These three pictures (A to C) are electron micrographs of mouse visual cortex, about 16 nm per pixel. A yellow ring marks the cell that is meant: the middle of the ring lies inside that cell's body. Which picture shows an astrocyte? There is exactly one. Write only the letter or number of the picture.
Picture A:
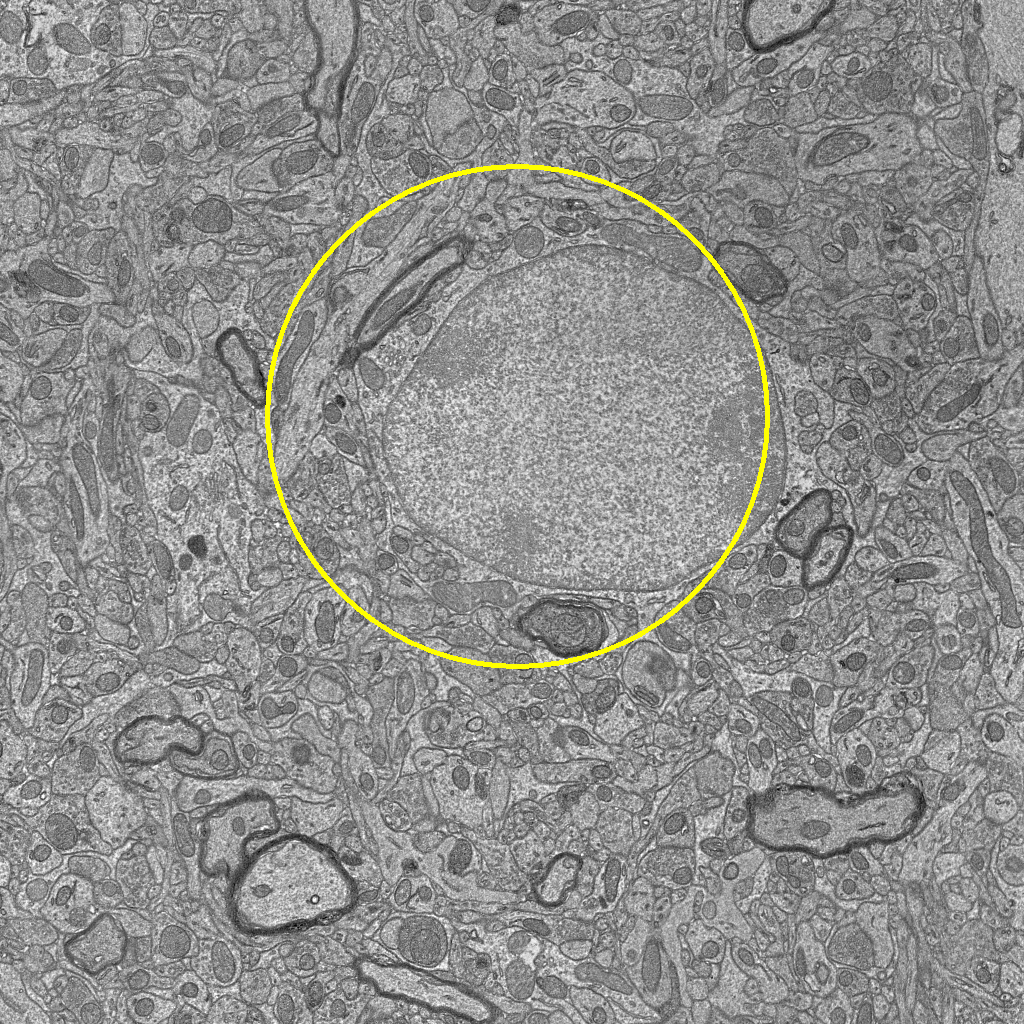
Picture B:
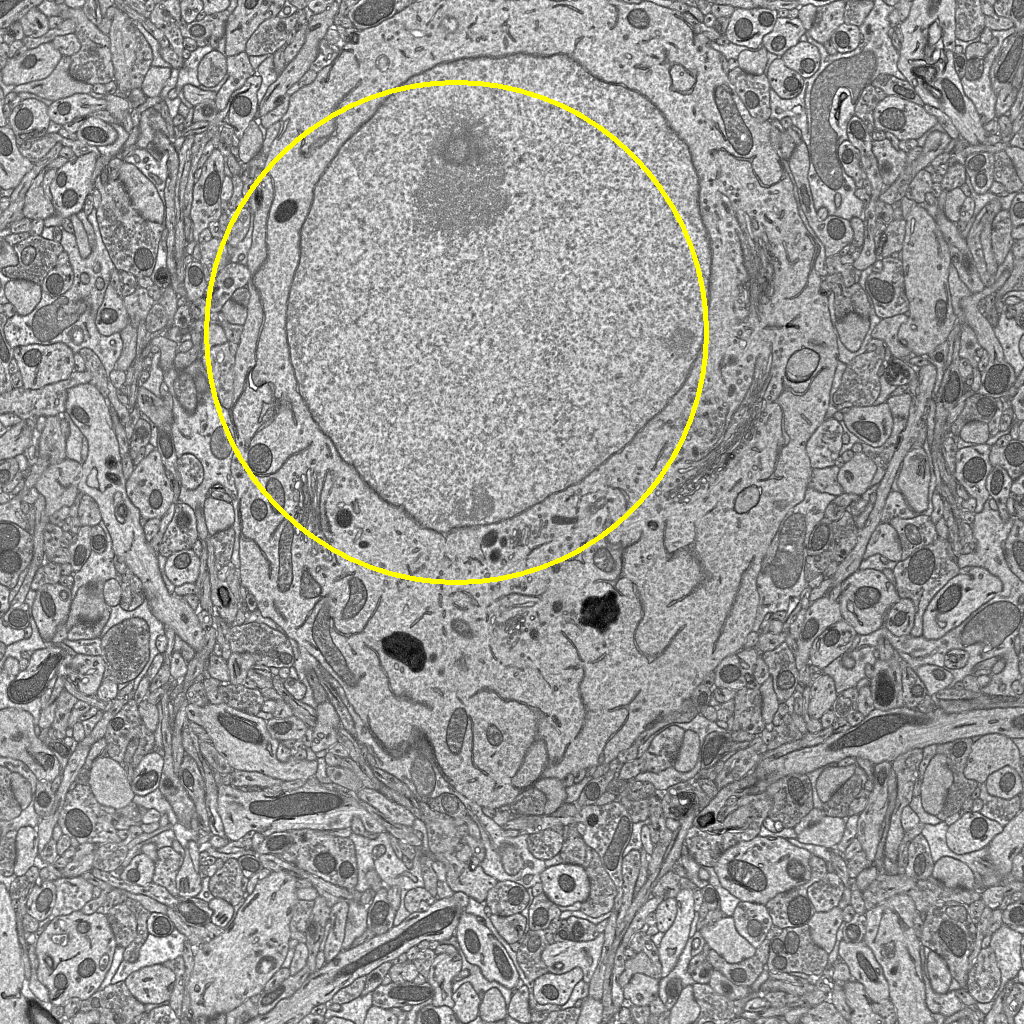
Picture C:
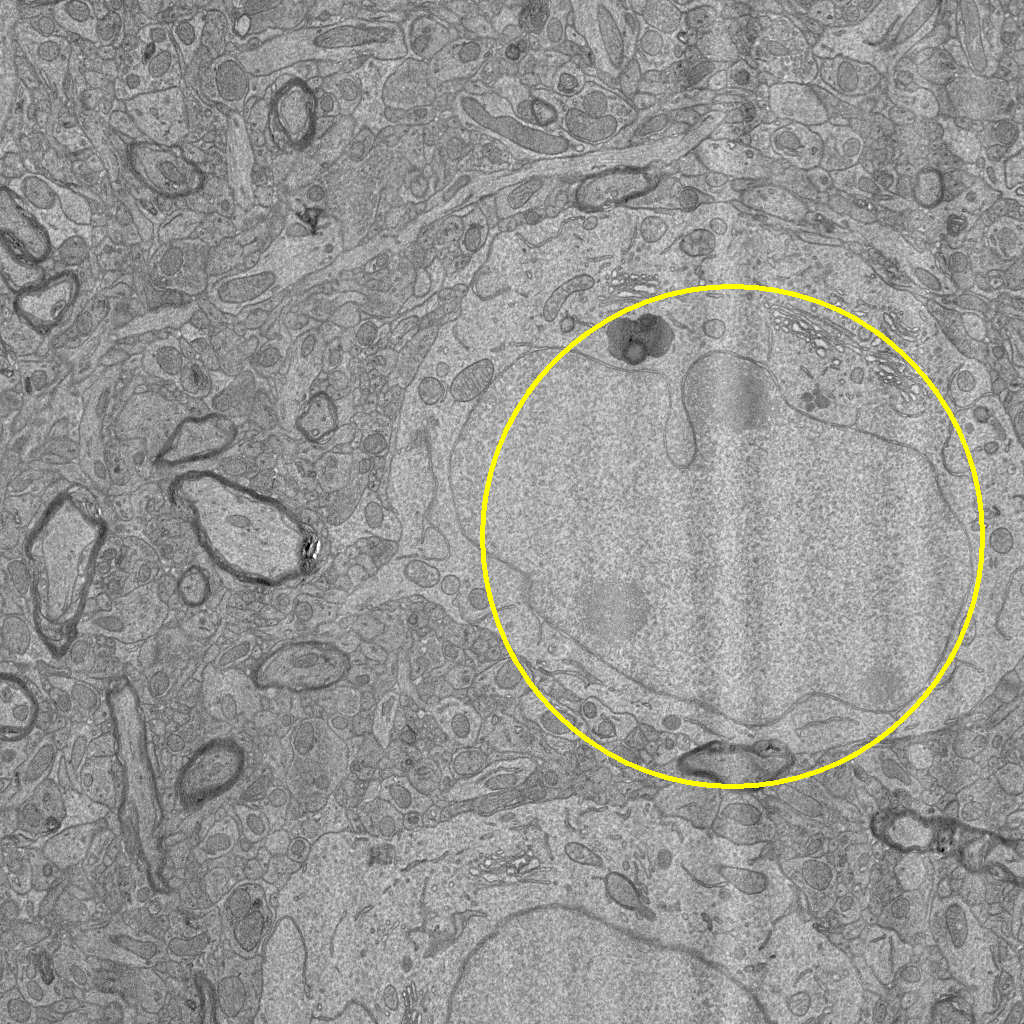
A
